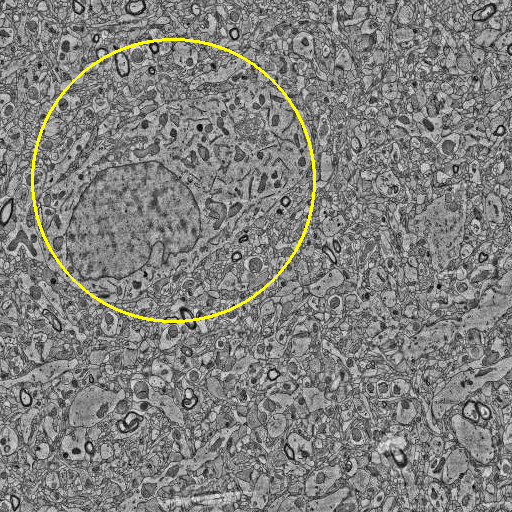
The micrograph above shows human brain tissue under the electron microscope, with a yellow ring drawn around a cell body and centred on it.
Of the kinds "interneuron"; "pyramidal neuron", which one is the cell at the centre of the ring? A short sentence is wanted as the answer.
The one at the centre of the ring is an interneuron.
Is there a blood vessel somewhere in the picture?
No.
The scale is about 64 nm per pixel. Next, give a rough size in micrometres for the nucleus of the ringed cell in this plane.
About 9 micrometres by about 7 micrometres in this plane.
